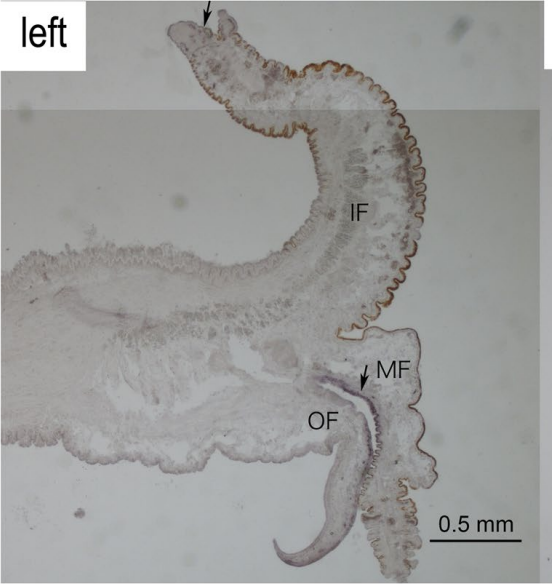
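This is a section through the edge of the mantle, which here is drawn out into three folds: a long, curving inner fold and, below it, a middle fold and an outer fold lying close together. Along part of the middle fold, the surface epithelium facing the outer fold carries a distinct dark purple band, sharply limited to this single cell layer. Near the tip of the inner fold a fainter stained zone is also seen at the surface layer.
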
